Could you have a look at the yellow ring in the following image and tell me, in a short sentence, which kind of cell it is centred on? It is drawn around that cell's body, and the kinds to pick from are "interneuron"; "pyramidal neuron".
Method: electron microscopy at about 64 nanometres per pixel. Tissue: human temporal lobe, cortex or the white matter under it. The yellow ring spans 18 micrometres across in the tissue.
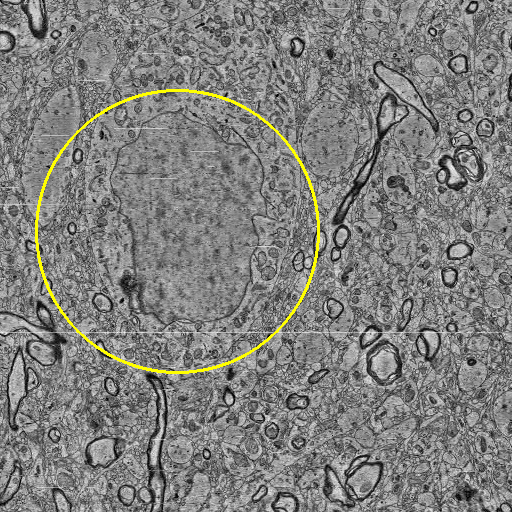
The ring is centred on the body of an interneuron.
